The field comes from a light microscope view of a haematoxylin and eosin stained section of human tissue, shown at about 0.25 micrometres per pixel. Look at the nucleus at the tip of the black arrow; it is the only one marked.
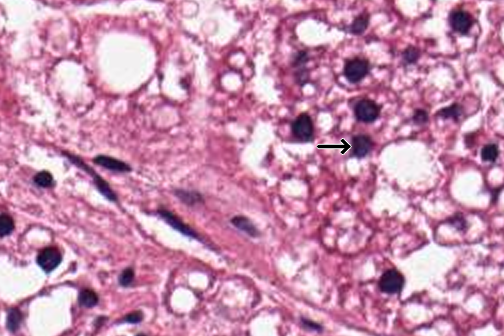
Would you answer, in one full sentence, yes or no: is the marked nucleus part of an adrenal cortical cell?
Yes, the nucleus that has been marked is that of an adrenal cortical cell.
